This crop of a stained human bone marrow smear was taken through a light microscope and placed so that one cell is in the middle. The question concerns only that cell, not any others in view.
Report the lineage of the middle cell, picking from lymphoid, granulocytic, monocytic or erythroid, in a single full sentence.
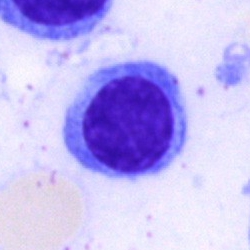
The cell in the center of the crop is counted in the lymphoid lineage.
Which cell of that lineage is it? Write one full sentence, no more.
The cell at the middle of the frame should be recorded as a lymphocyte.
